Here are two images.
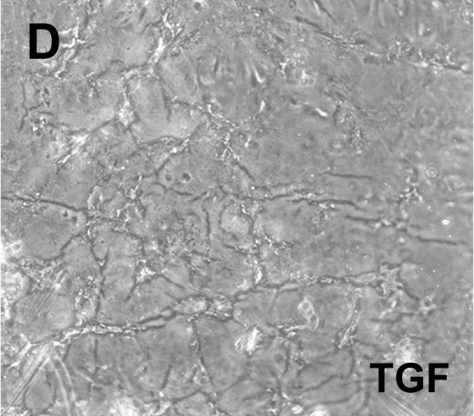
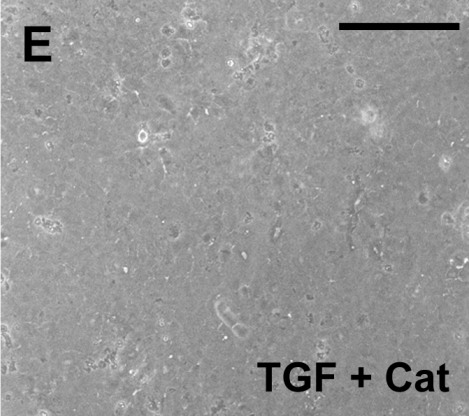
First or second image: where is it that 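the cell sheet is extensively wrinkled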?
The first image.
